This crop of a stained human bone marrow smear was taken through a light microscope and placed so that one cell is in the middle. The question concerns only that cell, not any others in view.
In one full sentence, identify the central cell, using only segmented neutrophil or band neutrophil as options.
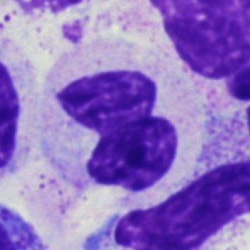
The crop centres on a single cell, and that cell is a segmented neutrophil.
